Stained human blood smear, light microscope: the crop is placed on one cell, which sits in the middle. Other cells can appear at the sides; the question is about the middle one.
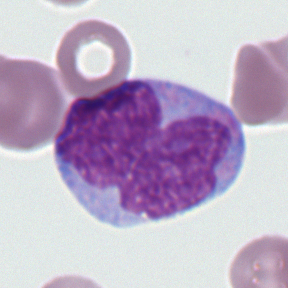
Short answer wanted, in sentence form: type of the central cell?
The cell in the exact centre of the crop is an atypical promyelocyte.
